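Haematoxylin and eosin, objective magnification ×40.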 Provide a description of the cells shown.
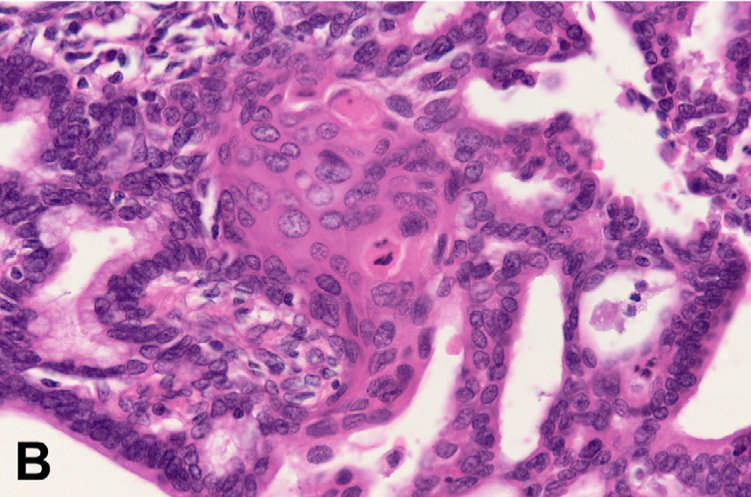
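A solid nest of squamous cells with plentiful pink cytoplasm and round to oval pale nuclei sits in the middle of a gland-forming carcinoma. Around it, the glands are lined by crowded tall columnar cells with dark, elongated, stratified nuclei surrounding open lumina. The squamous nest has no lumen and its cells are larger and more polygonal than the gland cells.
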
